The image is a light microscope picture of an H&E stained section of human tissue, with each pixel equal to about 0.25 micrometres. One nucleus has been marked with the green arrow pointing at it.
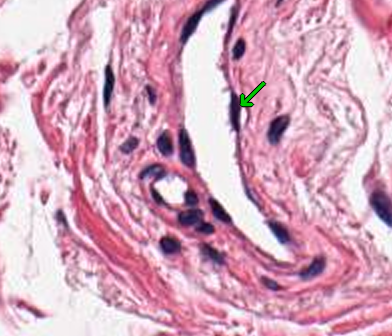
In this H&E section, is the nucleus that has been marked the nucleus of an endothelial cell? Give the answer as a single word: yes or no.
yes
